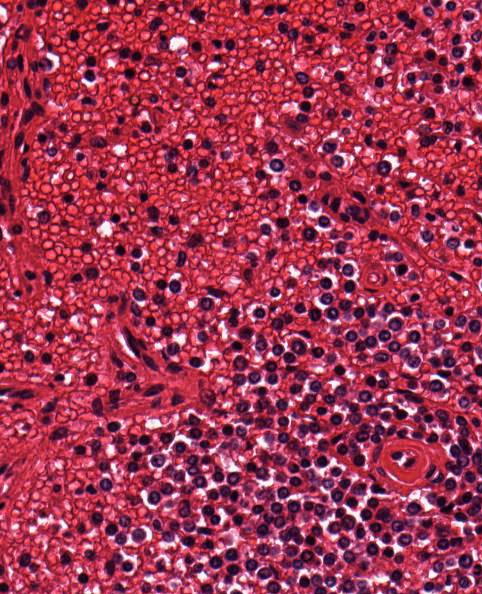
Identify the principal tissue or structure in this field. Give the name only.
red pulp of the spleen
